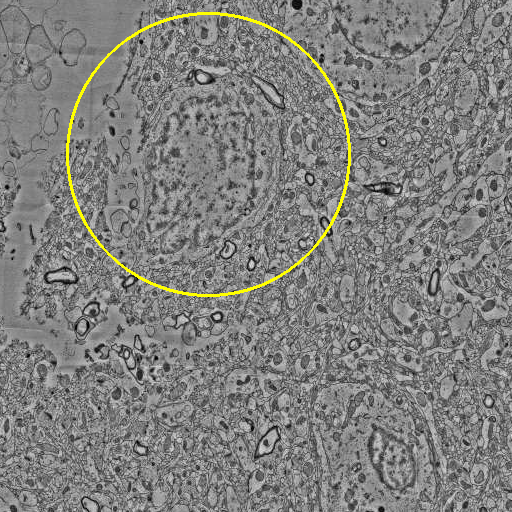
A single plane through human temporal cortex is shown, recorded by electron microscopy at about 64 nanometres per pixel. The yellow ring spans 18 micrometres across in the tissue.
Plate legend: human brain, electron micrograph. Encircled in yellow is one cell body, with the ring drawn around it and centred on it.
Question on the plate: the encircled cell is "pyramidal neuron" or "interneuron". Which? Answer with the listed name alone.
interneuron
